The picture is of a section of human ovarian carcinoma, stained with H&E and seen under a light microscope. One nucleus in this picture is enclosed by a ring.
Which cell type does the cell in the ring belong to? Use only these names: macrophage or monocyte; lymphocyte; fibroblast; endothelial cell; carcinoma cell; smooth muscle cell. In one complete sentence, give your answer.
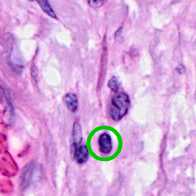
It is a lymphocyte that the cell in the ring represents.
